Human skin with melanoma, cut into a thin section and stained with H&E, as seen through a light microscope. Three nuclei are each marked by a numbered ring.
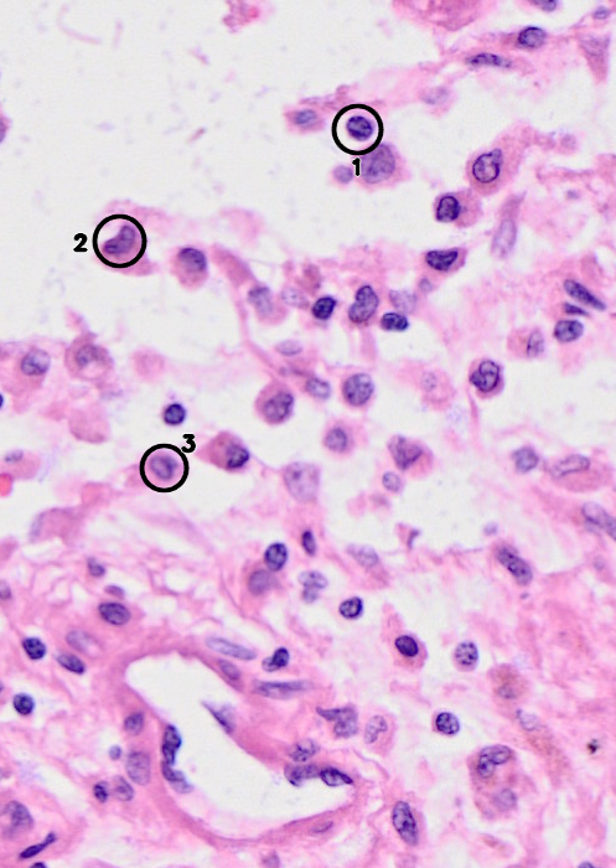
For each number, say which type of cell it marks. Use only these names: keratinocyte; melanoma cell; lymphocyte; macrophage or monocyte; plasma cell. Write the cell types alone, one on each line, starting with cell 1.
lymphocyte
macrophage or monocyte
macrophage or monocyte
